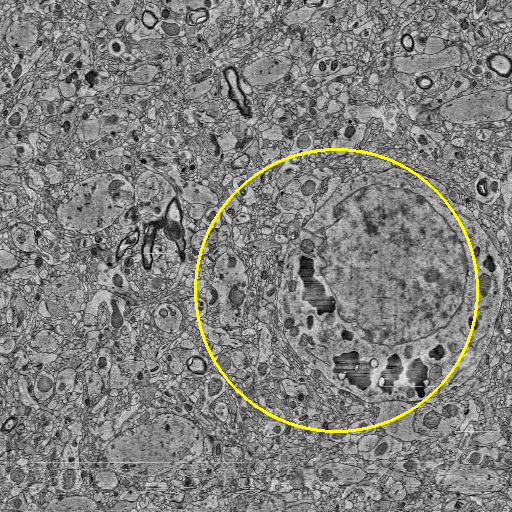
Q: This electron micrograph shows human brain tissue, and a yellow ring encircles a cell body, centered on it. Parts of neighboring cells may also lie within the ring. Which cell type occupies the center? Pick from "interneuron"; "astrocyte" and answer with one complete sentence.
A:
What sits at the ring's center in this micrograph is an interneuron, among those choices.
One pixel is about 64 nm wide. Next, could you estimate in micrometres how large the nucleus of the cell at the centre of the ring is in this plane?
In this plane, approximately 11 by 9 micrometers.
